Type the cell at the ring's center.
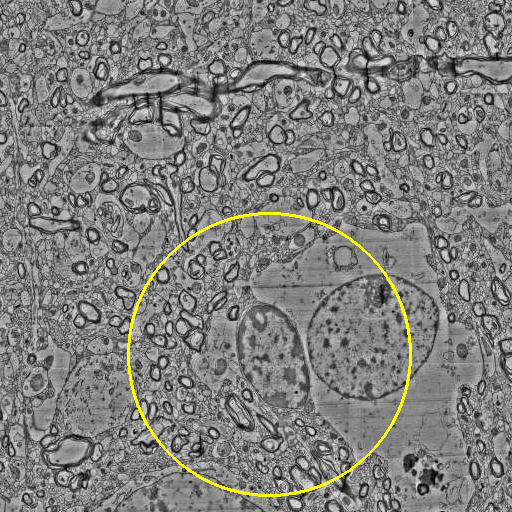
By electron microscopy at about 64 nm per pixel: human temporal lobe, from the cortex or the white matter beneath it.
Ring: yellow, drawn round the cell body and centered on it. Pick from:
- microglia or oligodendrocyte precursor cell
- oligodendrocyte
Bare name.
microglia or oligodendrocyte precursor cell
